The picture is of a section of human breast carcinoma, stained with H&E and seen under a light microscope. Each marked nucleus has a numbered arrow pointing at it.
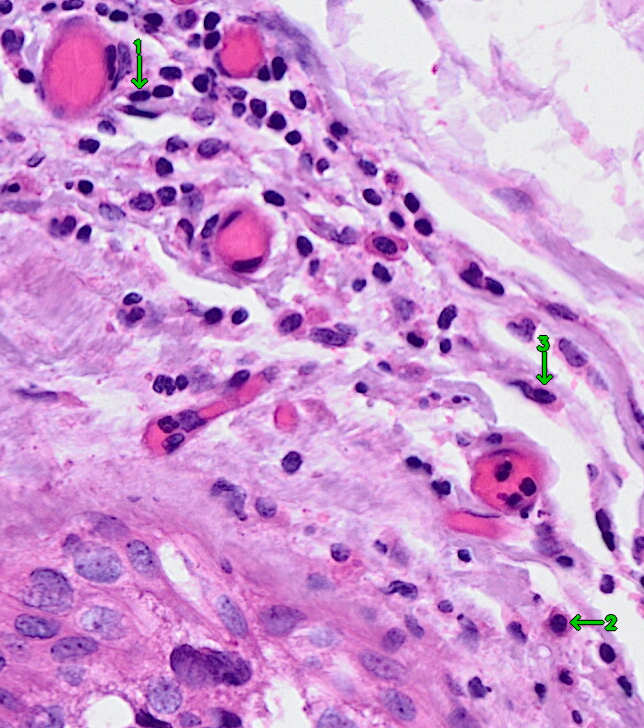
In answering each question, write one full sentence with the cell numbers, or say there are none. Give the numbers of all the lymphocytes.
Only cell 1 is a lymphocyte; none of the other numbered cells is.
